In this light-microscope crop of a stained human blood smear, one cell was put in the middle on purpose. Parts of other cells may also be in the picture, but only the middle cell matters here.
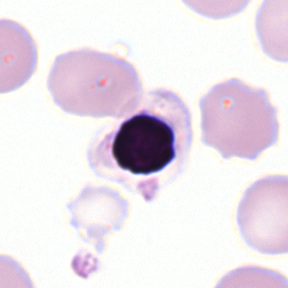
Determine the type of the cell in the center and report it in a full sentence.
The cell of interest, in the center, is a normoblast.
